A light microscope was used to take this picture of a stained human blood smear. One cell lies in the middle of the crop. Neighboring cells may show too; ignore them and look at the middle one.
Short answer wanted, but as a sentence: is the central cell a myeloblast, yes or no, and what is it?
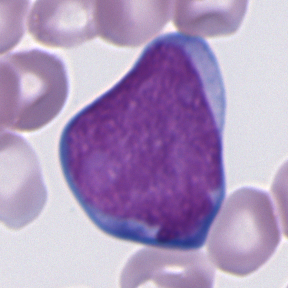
Yes, the cell in the middle of this smear crop is a myeloblast.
